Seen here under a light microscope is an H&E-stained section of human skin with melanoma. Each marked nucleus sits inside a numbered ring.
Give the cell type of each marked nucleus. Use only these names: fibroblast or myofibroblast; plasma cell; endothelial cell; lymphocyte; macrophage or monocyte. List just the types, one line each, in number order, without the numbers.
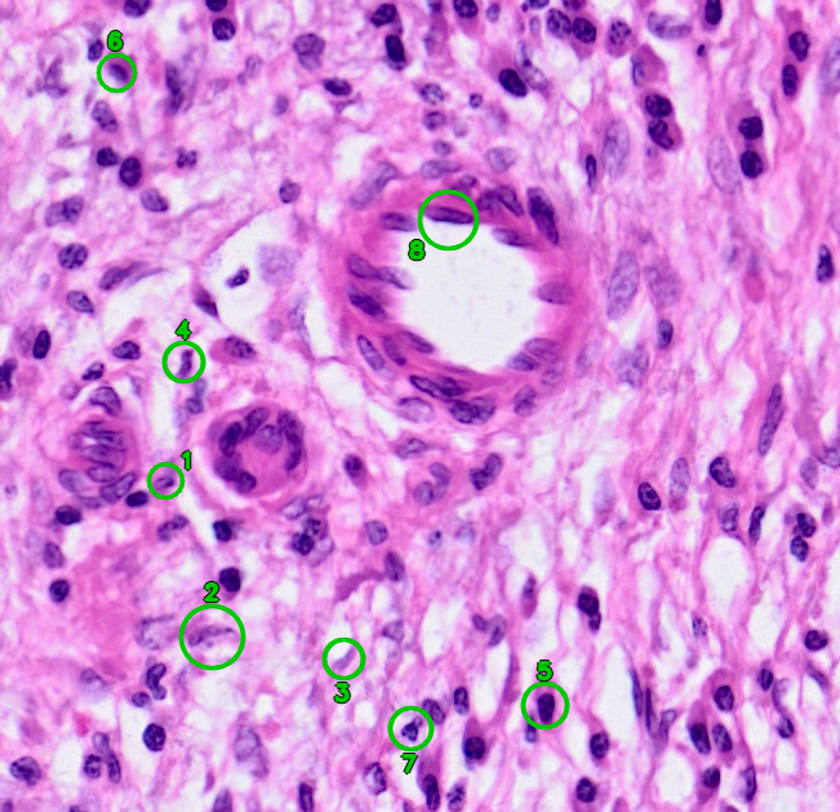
macrophage or monocyte
fibroblast or myofibroblast
fibroblast or myofibroblast
fibroblast or myofibroblast
plasma cell
plasma cell
lymphocyte
endothelial cell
